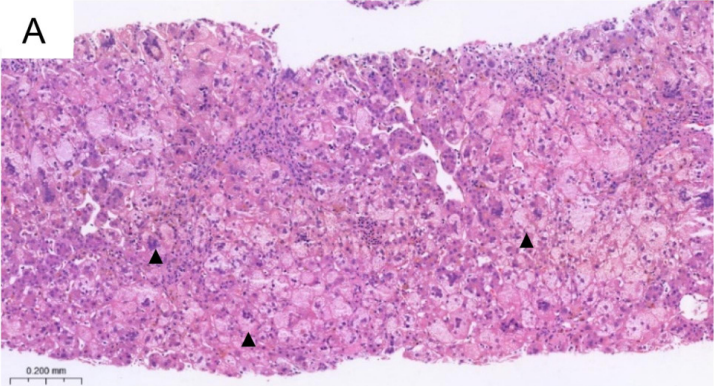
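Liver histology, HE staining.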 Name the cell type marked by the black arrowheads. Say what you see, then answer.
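Scattered enlarged pale cells stand out among the liver parenchyma. The pale cells are larger than neighbouring hepatocytes.
Swollen hepatocellular giant cells.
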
